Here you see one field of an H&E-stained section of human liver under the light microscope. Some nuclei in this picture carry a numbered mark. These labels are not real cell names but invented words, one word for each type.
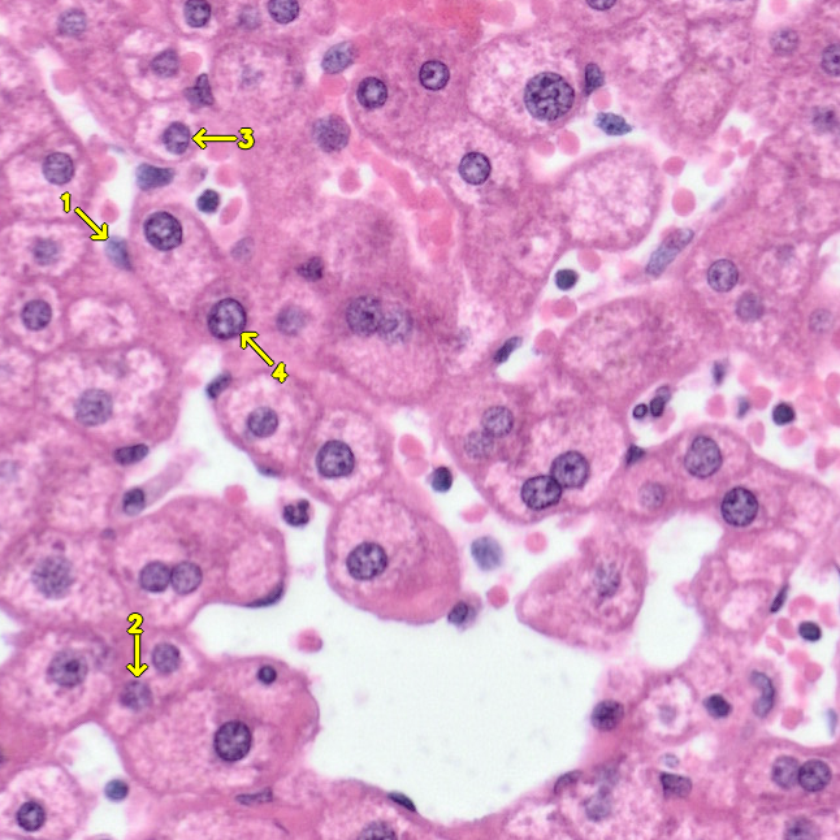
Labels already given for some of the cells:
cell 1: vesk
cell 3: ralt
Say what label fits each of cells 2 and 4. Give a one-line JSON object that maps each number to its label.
{"2": "ralt", "4": "ralt"}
